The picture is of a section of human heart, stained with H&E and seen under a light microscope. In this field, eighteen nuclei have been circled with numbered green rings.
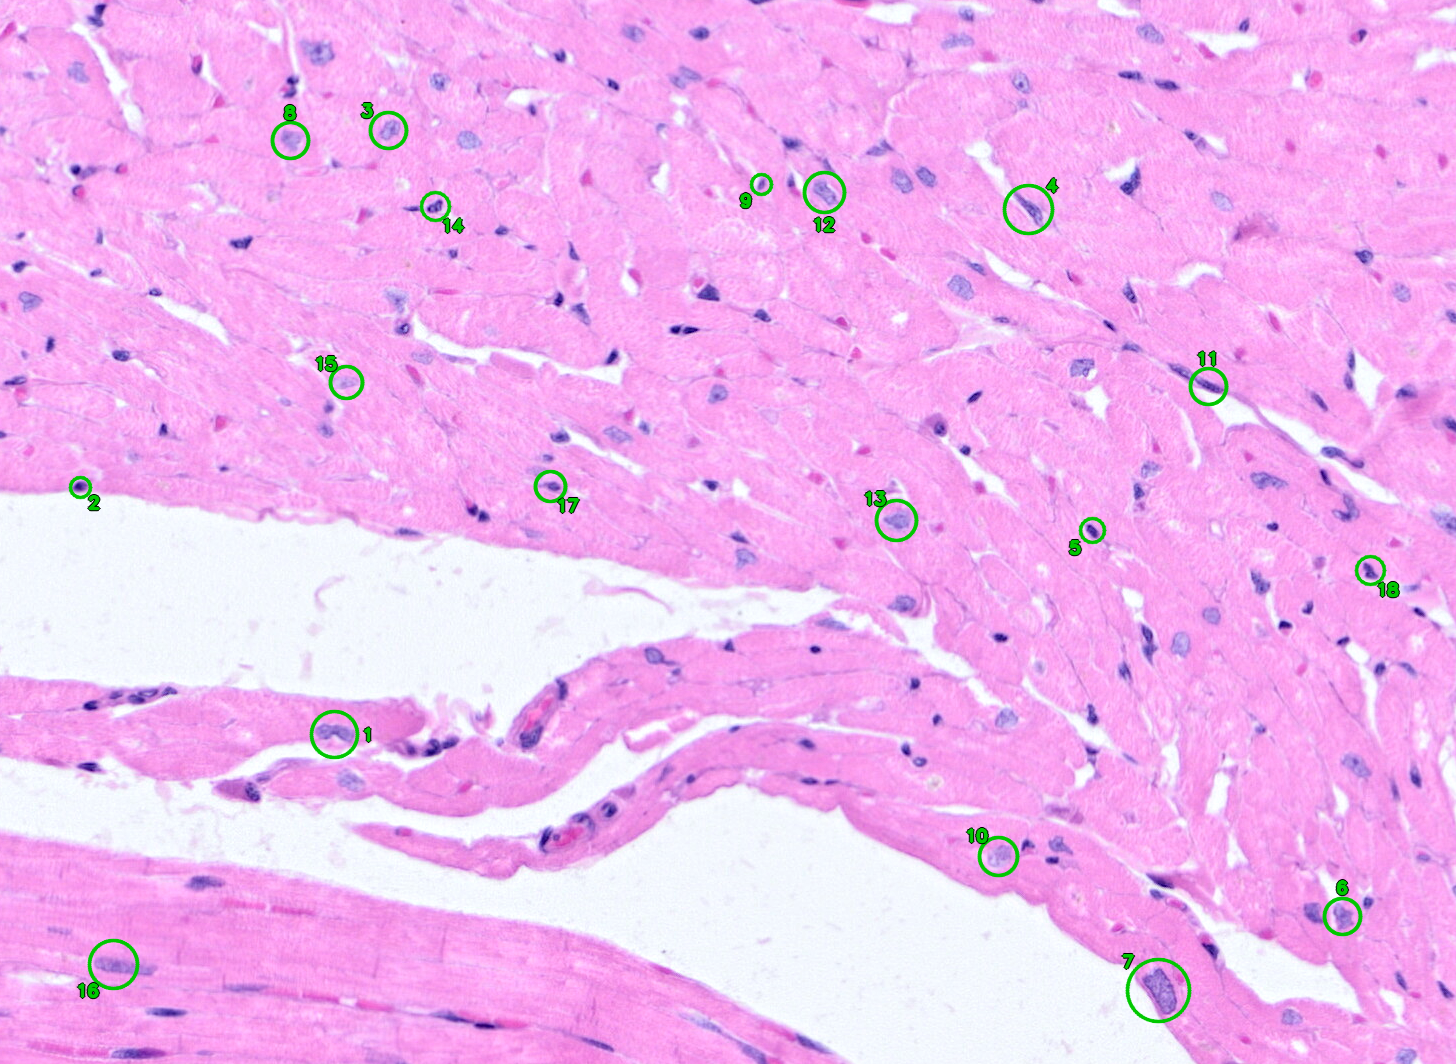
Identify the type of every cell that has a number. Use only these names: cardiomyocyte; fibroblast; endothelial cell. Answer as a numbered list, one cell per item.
1. cardiomyocyte
2. endothelial cell
3. cardiomyocyte
4. endothelial cell
5. endothelial cell
6. cardiomyocyte
7. cardiomyocyte
8. cardiomyocyte
9. endothelial cell
10. cardiomyocyte
11. endothelial cell
12. cardiomyocyte
13. cardiomyocyte
14. endothelial cell
15. cardiomyocyte
16. cardiomyocyte
17. endothelial cell
18. endothelial cell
